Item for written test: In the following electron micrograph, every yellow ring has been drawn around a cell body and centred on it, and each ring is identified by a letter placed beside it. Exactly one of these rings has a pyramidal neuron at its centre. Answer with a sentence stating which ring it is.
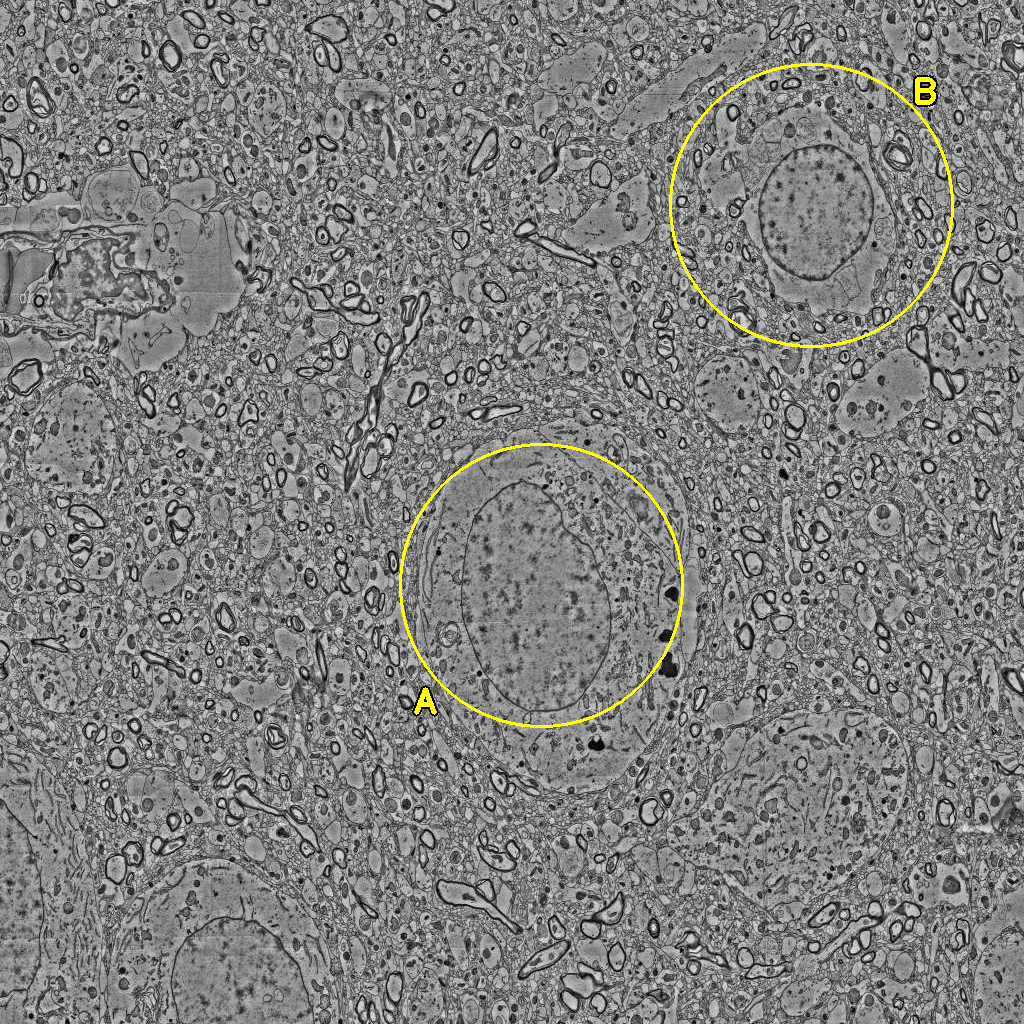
It is ring A.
